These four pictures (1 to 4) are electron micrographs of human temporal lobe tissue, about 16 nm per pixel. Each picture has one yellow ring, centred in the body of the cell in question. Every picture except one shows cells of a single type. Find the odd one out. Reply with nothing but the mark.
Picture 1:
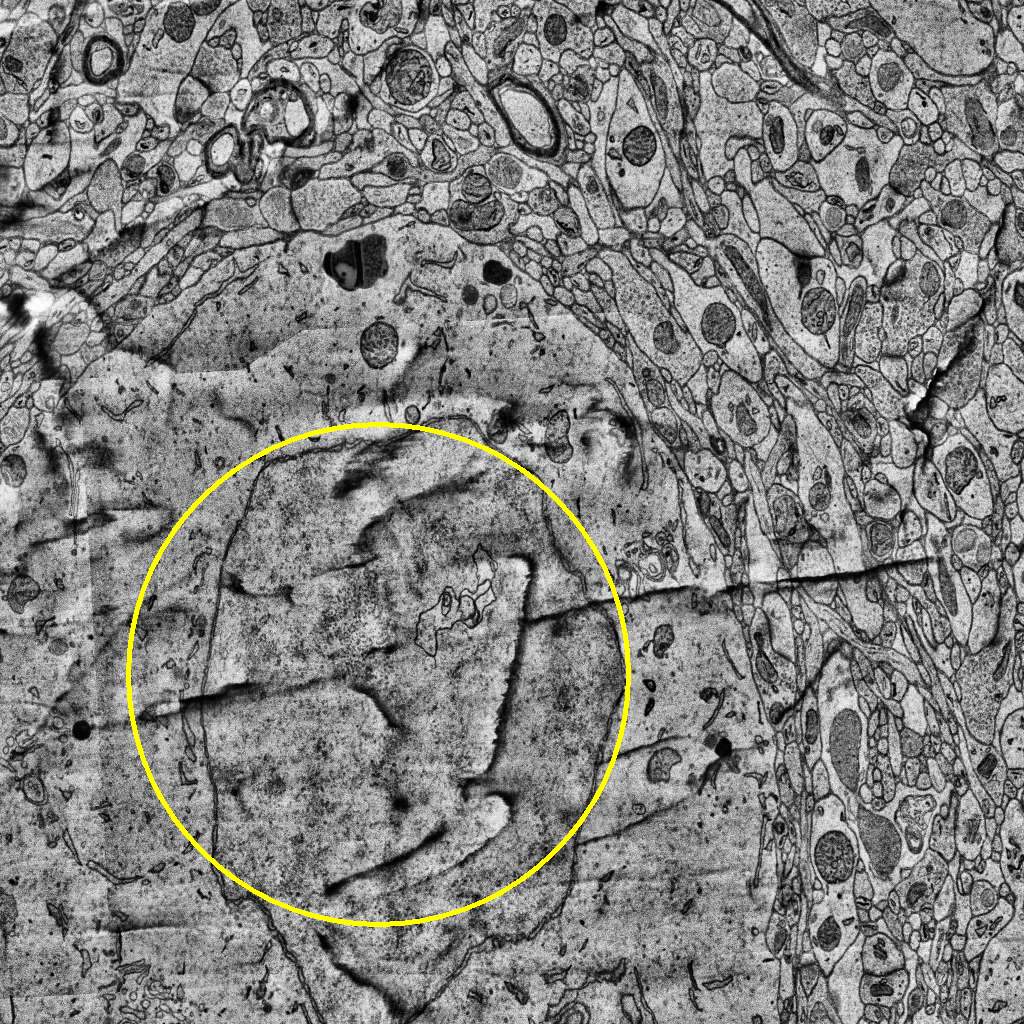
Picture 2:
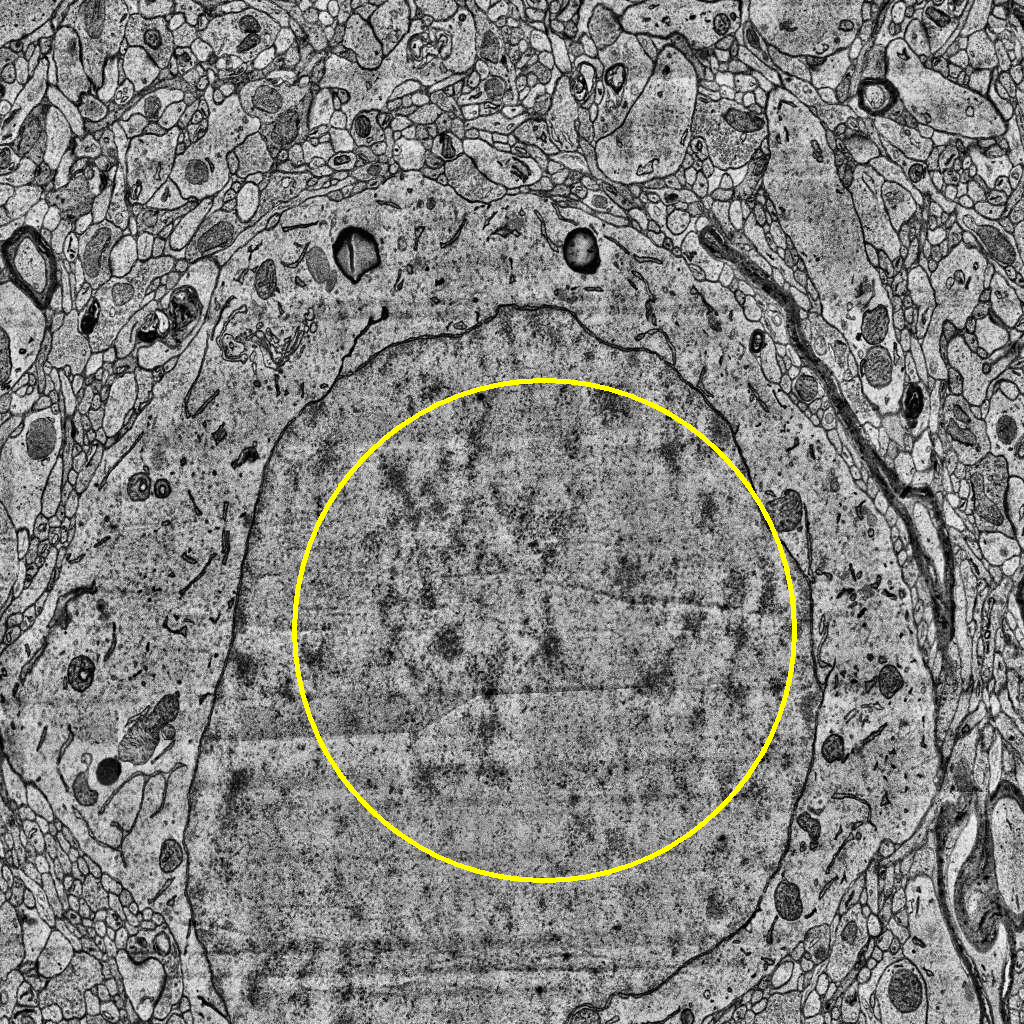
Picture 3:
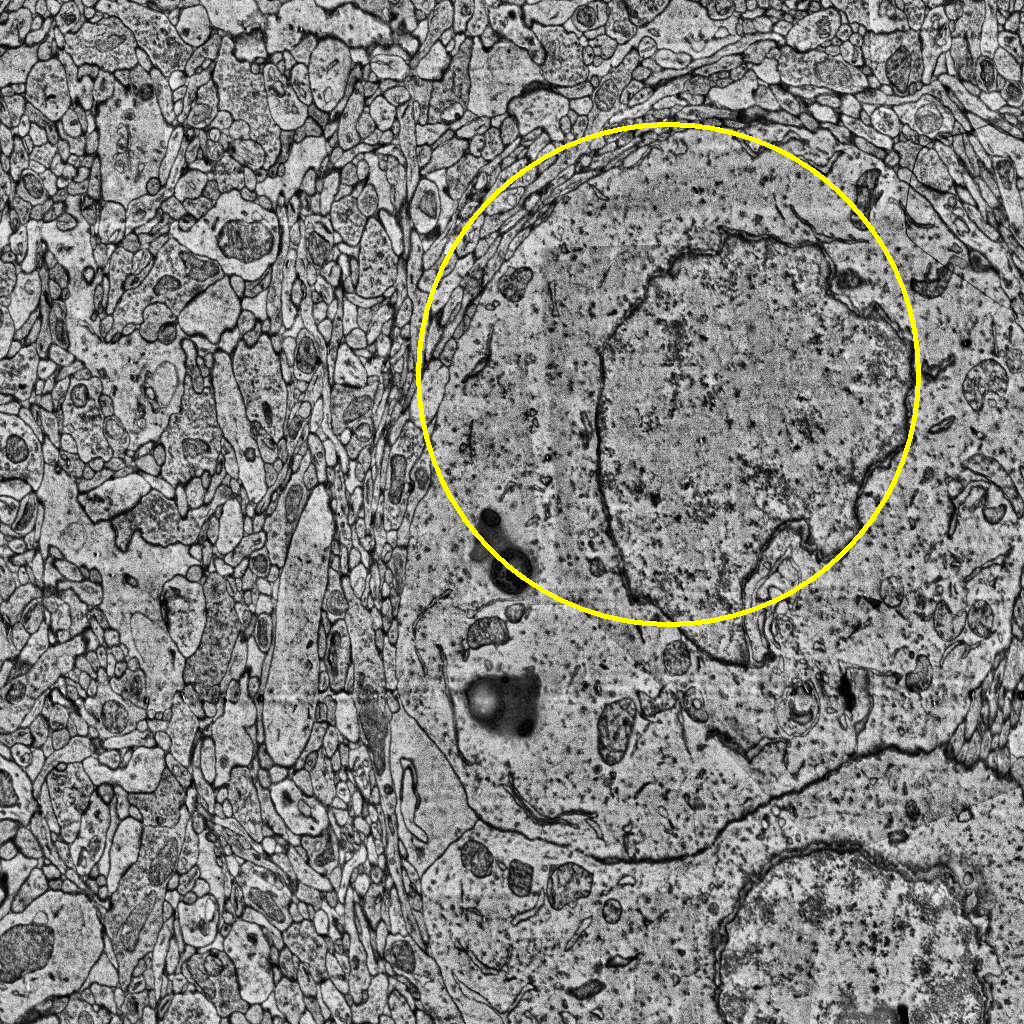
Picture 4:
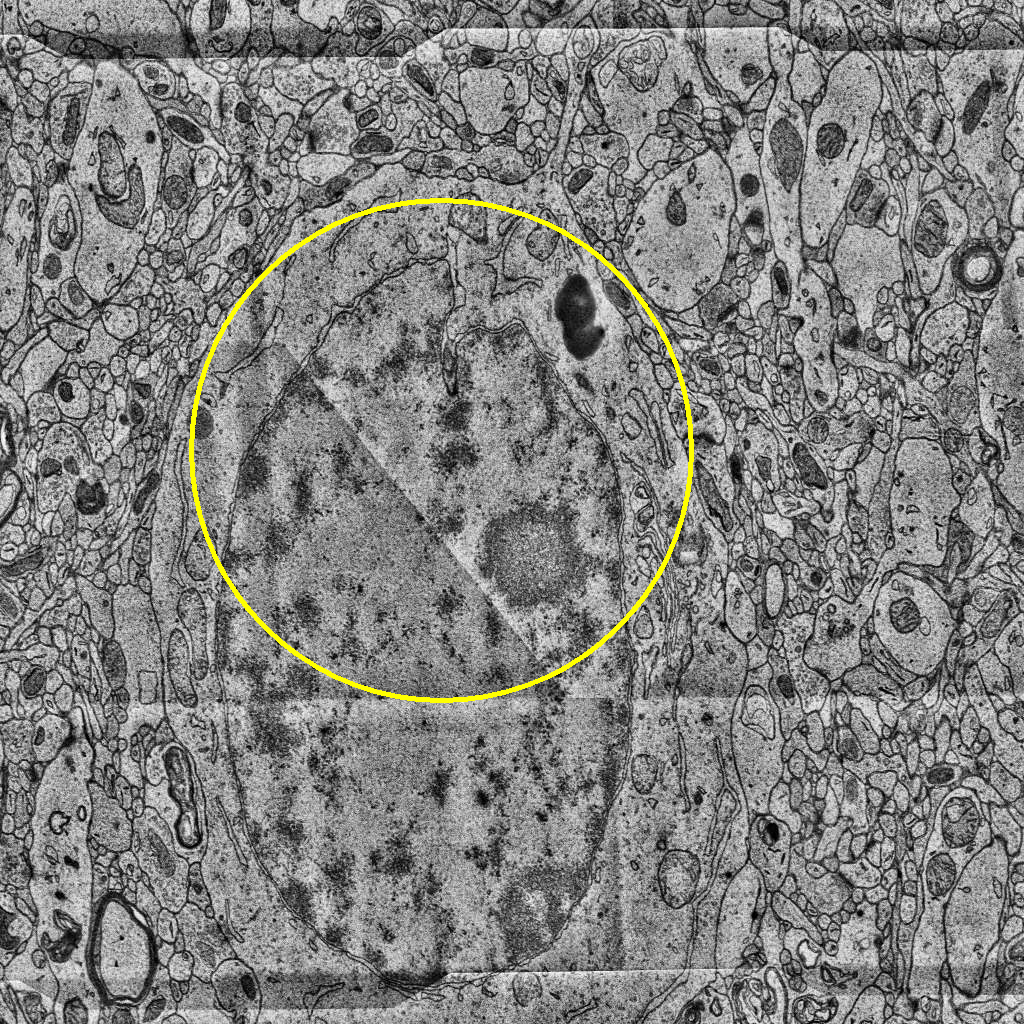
4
